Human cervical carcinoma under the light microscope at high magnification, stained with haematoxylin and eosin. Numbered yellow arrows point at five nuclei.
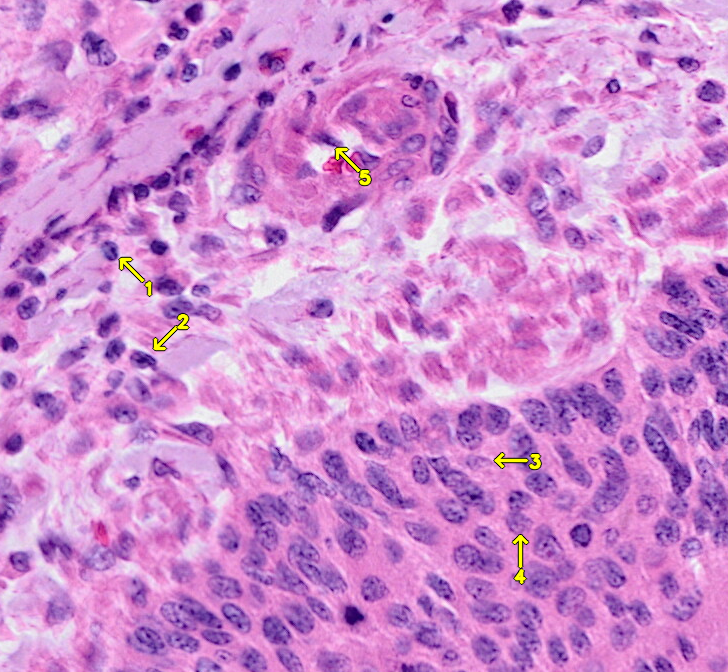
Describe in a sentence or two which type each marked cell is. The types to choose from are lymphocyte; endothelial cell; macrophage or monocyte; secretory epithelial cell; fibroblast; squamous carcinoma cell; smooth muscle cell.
Cell 1 is a lymphocyte, cell 2 is a lymphocyte, cell 3 is a squamous carcinoma cell, cell 4 is a squamous carcinoma cell and cell 5 is an endothelial cell.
